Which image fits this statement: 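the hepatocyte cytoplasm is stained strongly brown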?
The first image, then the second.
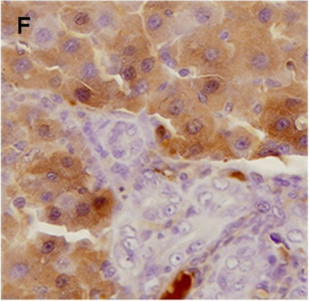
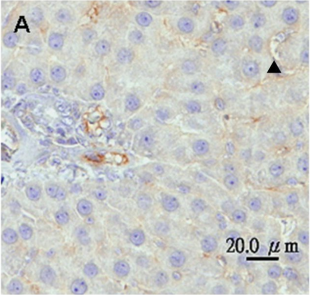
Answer: the first image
